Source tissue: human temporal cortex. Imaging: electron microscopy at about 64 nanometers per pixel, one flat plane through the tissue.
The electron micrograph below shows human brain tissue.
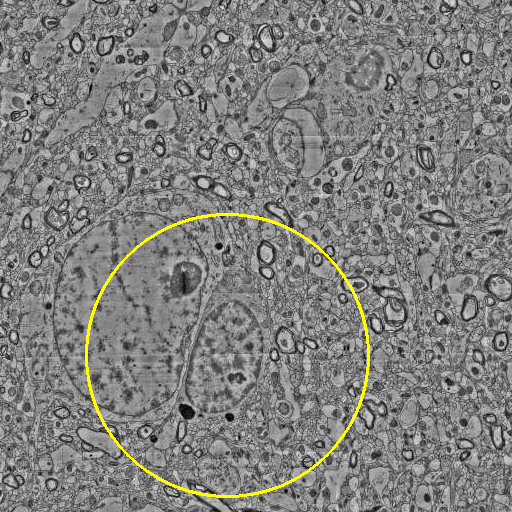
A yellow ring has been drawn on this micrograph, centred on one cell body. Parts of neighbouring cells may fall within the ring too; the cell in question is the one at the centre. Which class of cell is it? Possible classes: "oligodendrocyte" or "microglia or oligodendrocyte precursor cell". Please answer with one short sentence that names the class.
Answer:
In the centre of the ring sits an oligodendrocyte.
